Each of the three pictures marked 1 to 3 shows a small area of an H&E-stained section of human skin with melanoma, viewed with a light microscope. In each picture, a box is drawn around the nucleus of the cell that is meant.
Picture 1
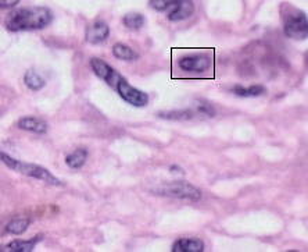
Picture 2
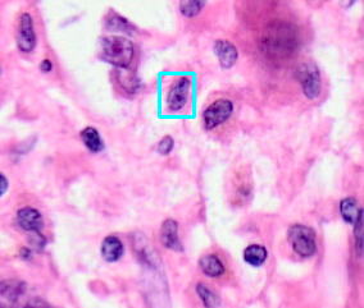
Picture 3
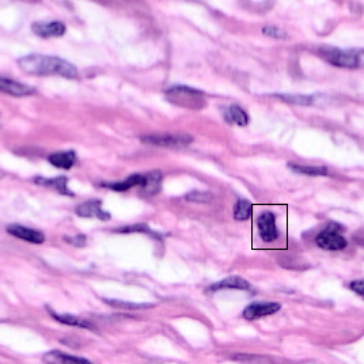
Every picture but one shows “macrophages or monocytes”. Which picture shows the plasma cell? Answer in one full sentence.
The picture with the plasma cell is 3.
